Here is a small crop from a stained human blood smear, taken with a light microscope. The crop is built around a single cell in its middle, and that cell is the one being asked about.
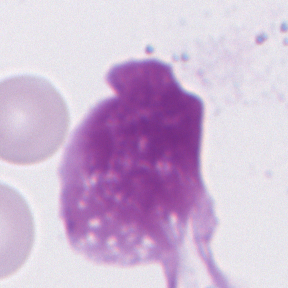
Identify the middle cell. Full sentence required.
The cell in the exact centre of the crop is a smudge cell.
